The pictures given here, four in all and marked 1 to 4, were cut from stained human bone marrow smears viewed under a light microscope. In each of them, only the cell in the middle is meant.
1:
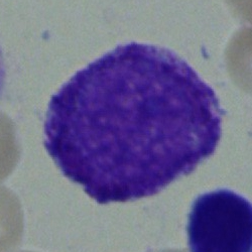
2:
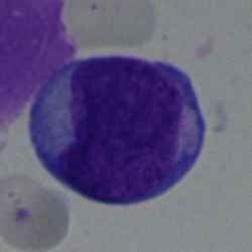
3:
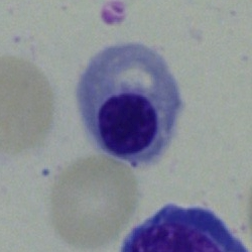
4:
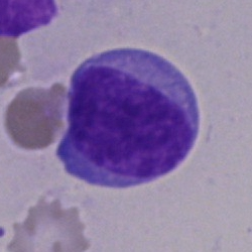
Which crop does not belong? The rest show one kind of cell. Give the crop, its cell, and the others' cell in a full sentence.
Crop 3 presents an erythroblast, while blasts are presented by all other crops.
